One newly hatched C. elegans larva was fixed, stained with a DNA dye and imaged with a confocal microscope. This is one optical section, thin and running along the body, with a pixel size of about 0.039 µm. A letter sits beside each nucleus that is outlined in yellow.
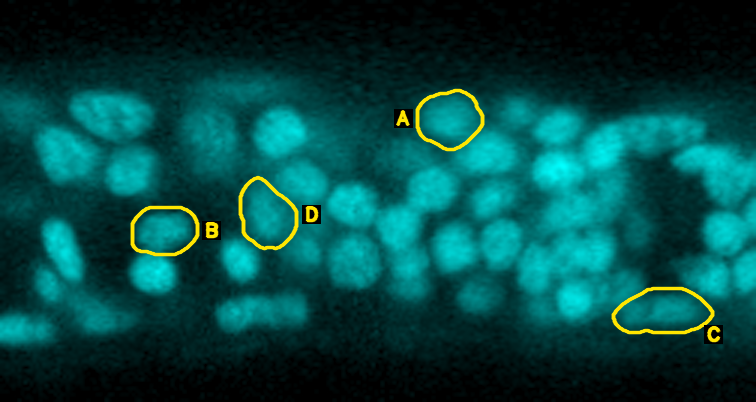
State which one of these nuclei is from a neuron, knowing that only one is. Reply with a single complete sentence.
The nucleus of a neuron is A.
